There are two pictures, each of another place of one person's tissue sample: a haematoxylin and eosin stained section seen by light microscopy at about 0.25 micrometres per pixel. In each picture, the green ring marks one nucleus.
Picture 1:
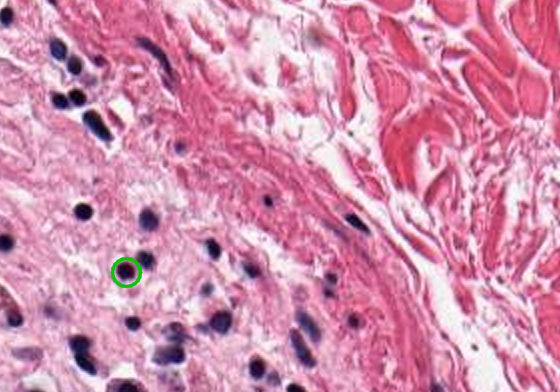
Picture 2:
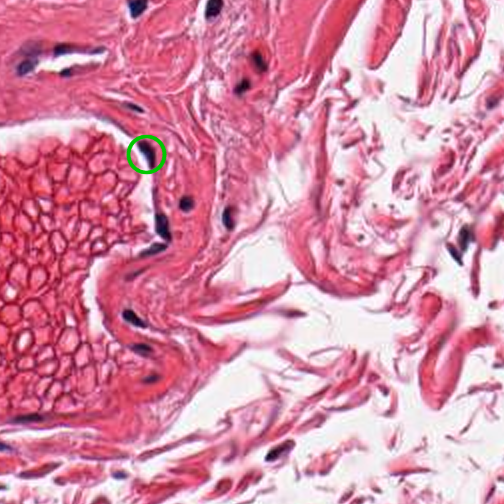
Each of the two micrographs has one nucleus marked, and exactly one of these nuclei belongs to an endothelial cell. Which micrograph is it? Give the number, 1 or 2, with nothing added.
2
